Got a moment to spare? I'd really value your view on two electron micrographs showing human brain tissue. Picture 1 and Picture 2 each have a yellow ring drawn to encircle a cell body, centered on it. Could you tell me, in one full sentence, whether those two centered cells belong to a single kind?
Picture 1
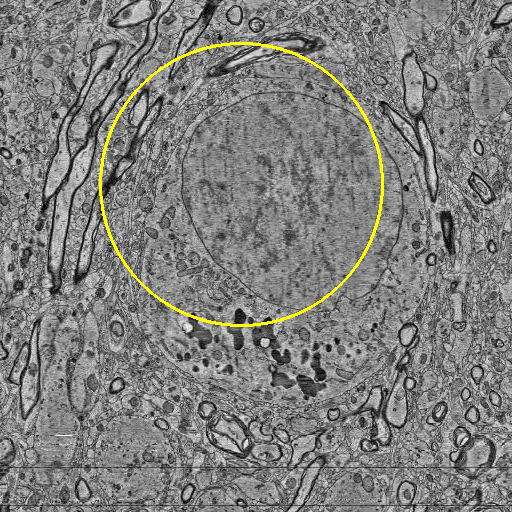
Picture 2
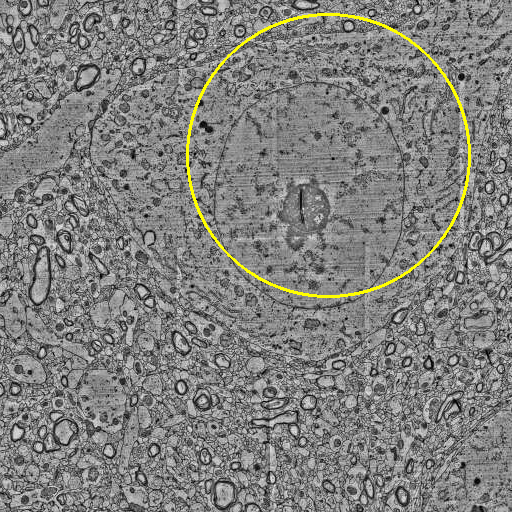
Yes, the two centered cells in Picture 1 and Picture 2 are of a single kind.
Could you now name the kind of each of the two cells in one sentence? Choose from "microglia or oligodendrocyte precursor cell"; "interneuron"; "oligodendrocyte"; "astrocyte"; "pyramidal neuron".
Each cell, in the first picture and the second, is a pyramidal neuron.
